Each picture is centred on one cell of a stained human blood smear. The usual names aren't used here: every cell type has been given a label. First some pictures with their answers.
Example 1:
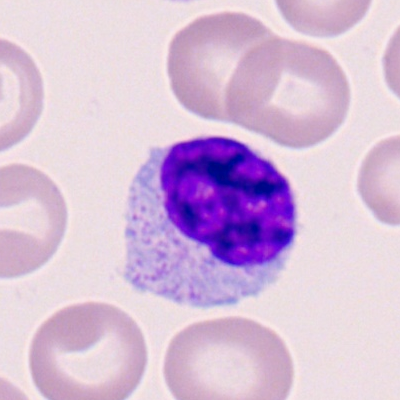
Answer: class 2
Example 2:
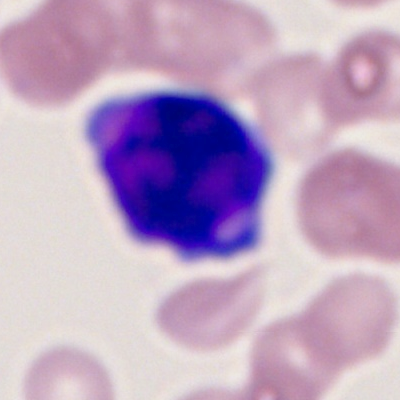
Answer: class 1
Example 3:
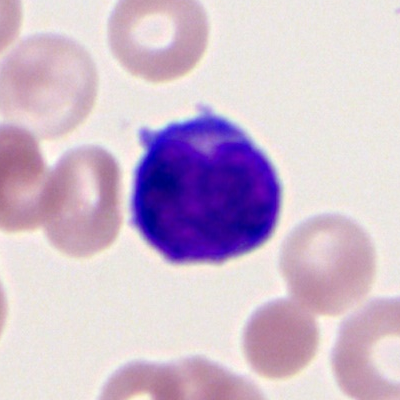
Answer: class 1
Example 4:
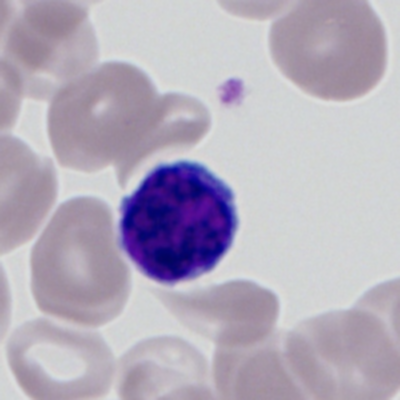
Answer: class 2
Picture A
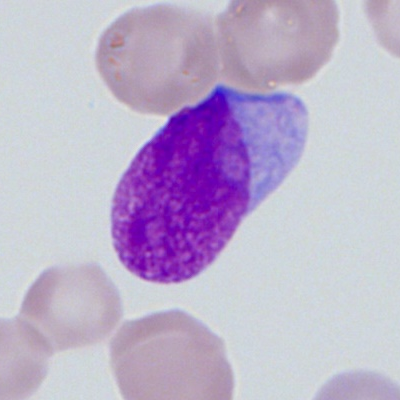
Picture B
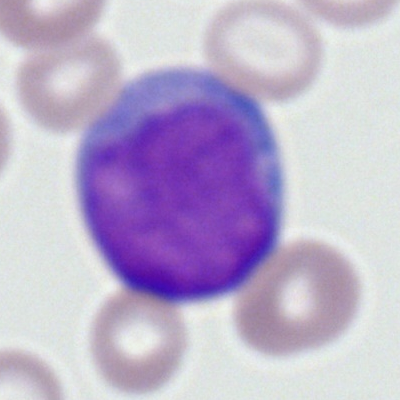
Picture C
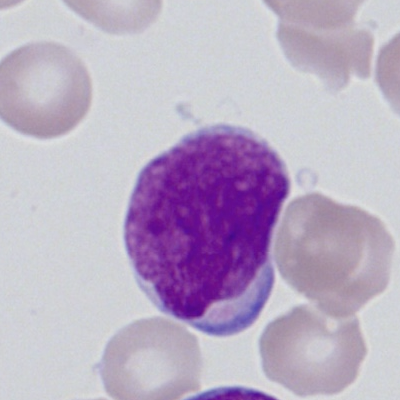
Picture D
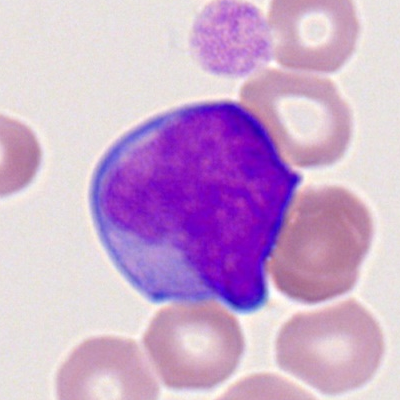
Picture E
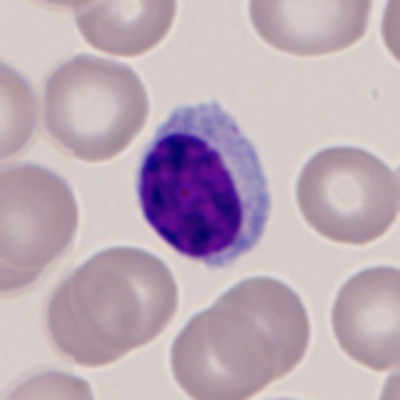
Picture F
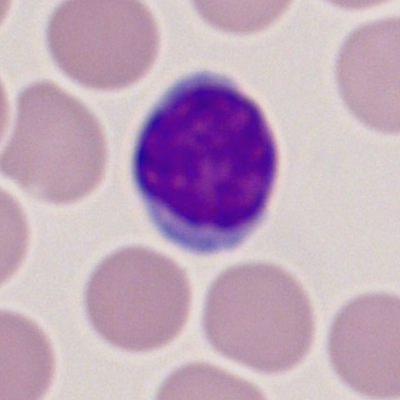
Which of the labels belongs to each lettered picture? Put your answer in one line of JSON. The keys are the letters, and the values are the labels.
{"A": "class 1", "B": "class 1", "C": "class 1", "D": "class 1", "E": "class 2", "F": "class 2"}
